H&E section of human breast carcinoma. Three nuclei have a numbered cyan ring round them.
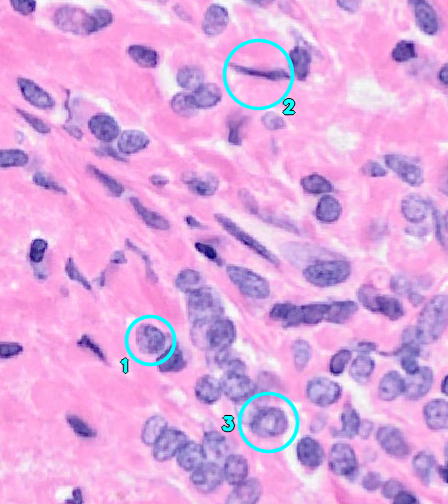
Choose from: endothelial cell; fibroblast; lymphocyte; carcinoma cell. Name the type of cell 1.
carcinoma cell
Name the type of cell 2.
fibroblast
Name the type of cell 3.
carcinoma cell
